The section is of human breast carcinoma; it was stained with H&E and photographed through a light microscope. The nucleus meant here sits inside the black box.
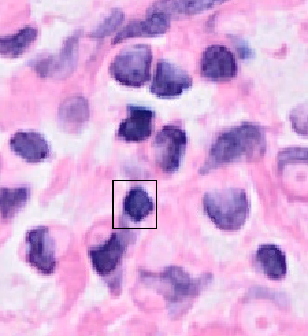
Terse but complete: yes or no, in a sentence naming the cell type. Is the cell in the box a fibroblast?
No, the cell in the box is a lymphocyte in this section, not a fibroblast.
